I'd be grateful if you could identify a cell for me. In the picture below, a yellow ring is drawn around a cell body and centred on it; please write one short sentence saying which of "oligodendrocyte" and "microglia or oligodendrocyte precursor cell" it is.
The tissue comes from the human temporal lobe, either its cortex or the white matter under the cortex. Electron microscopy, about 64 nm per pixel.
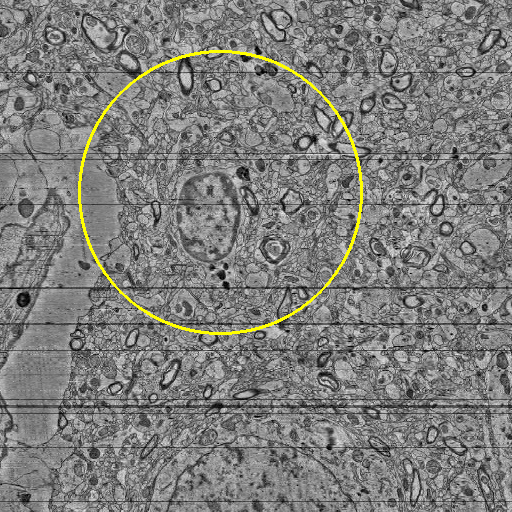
The cell under the ring's centre is a microglial cell or oligodendrocyte precursor cell.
